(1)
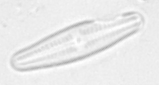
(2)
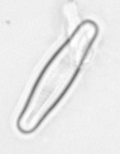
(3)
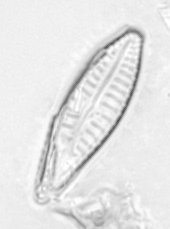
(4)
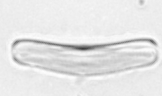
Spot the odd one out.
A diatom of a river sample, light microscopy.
Picture 3 (Gomphonema among Achnanthidium).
